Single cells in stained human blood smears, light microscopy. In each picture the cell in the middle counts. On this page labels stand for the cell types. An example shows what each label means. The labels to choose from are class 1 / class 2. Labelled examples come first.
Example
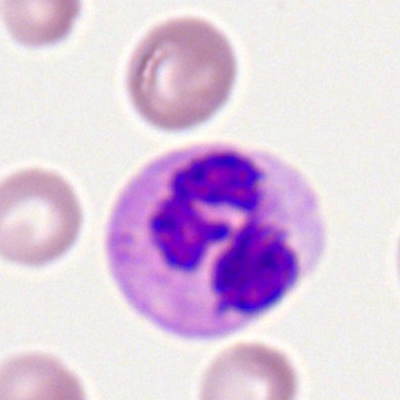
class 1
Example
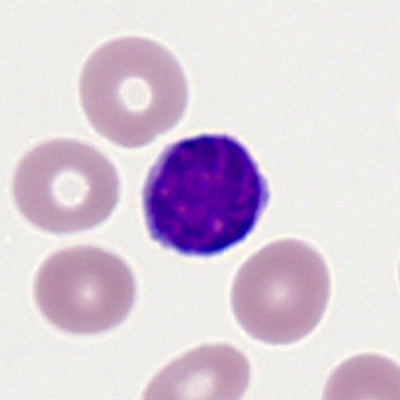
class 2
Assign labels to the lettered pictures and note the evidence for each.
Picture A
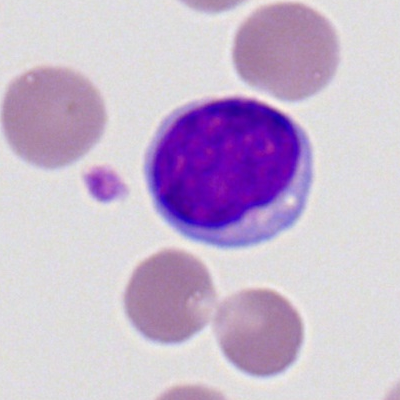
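class 2. Reason: The nucleus fills most of the cell.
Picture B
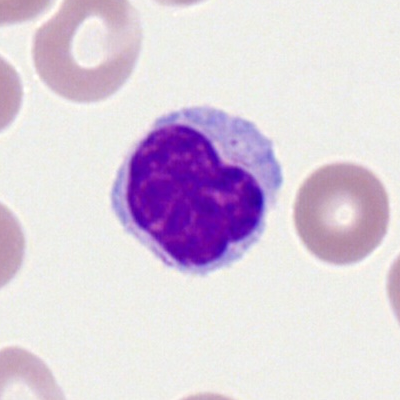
class 2. Reason: The nucleus has a notch on its right side, giving it a kidney-like outline.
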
